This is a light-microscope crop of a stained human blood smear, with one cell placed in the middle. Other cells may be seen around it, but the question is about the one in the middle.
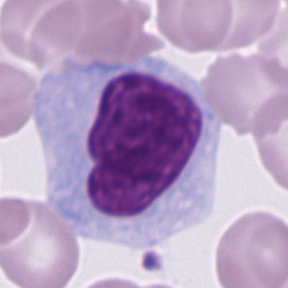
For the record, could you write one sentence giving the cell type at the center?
The middle of this crop is occupied by a monocyte.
